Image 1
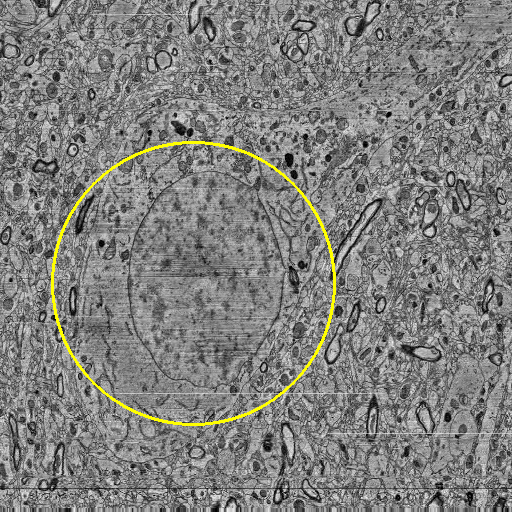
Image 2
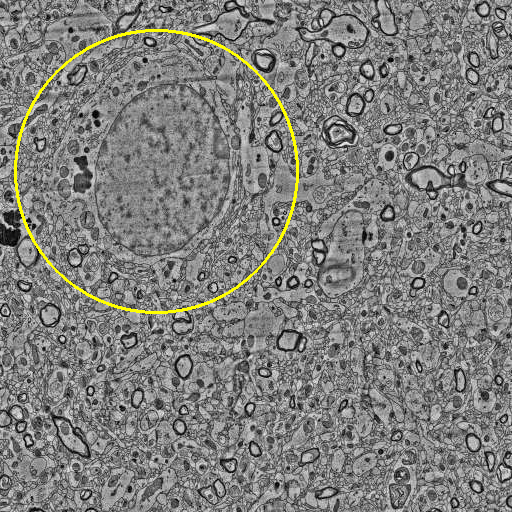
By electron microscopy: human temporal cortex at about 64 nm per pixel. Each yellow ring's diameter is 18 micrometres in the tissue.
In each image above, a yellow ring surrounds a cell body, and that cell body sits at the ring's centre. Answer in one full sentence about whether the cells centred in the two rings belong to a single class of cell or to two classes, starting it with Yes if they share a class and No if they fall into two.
No, the cells centred in the two yellow rings belong to two classes of cell.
